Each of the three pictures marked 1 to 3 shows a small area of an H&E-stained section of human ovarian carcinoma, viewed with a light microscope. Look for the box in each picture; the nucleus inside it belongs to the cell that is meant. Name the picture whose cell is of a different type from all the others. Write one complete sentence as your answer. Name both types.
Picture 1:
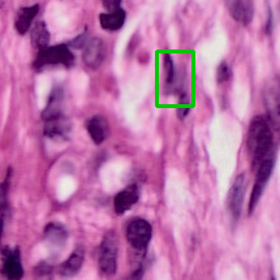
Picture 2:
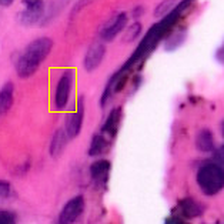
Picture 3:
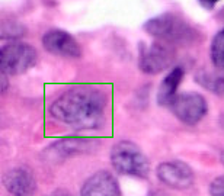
The others show endothelial cells, but picture 1 shows a fibroblast.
